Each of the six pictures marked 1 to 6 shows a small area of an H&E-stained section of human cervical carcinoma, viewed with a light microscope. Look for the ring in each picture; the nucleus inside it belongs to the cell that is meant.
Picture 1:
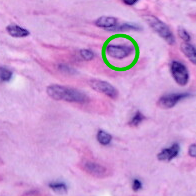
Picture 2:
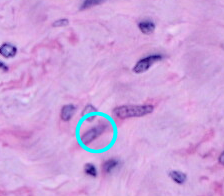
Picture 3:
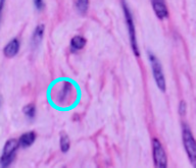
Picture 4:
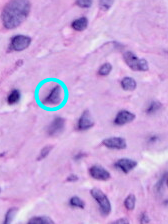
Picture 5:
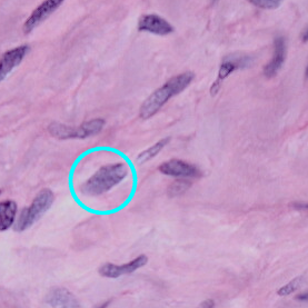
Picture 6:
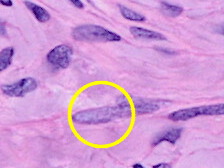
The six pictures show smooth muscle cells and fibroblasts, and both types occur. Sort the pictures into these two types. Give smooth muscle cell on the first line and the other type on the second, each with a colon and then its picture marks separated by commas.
smooth muscle cell: 1, 2, 3, 6
fibroblast: 4, 5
